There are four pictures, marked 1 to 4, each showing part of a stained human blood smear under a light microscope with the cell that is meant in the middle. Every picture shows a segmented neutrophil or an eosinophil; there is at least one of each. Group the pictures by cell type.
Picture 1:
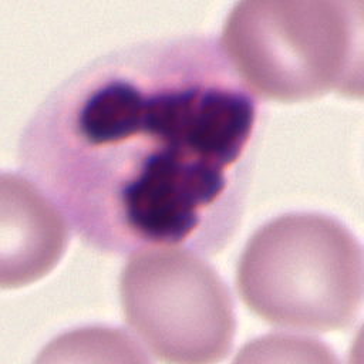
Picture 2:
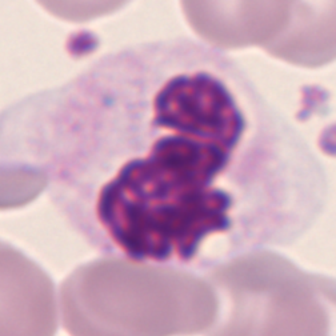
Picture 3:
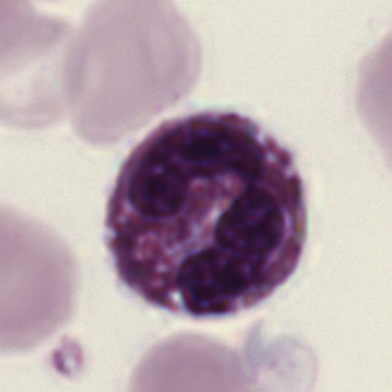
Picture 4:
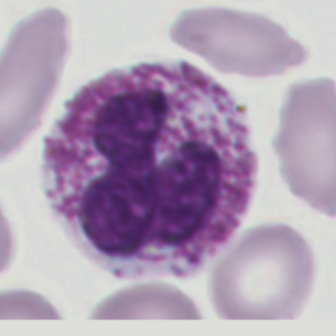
1: segmented neutrophil
2: segmented neutrophil
3: eosinophil
4: eosinophil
